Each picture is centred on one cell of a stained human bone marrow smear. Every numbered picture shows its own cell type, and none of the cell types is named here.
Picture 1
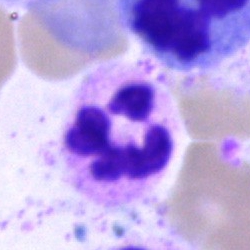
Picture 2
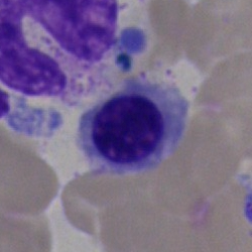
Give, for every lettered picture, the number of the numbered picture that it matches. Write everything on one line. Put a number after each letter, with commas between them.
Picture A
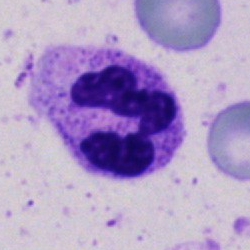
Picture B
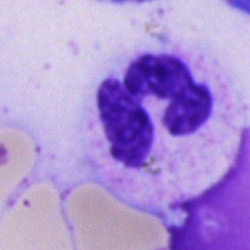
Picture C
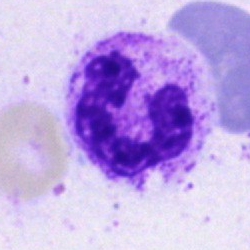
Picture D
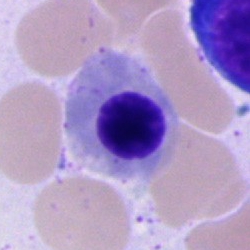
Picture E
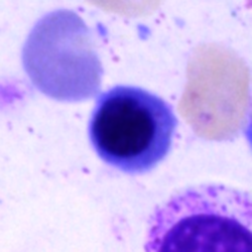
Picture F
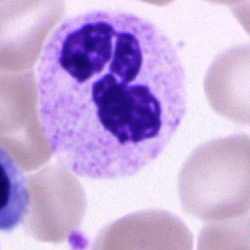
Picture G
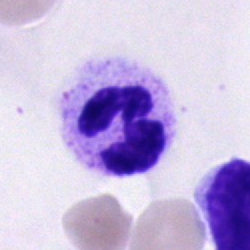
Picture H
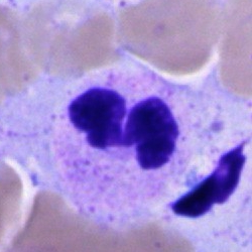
A 1, B 1, C 1, D 2, E 2, F 1, G 1, H 1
